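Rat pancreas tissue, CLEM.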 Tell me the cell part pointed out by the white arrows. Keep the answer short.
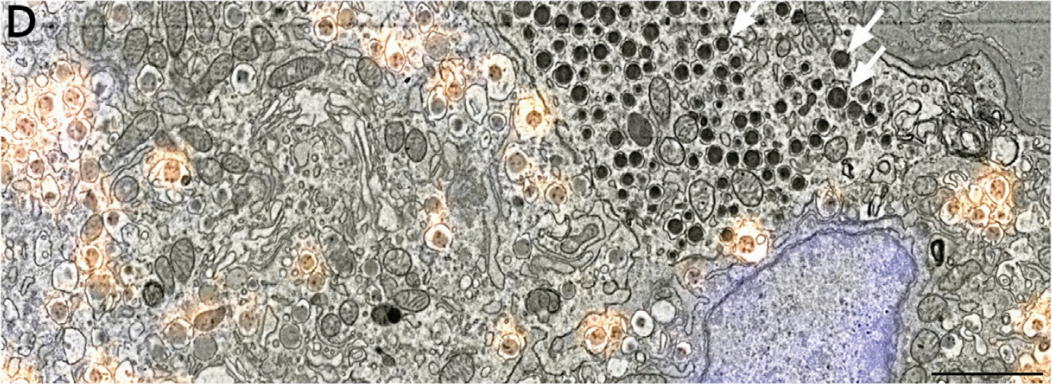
Glucagon granules.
